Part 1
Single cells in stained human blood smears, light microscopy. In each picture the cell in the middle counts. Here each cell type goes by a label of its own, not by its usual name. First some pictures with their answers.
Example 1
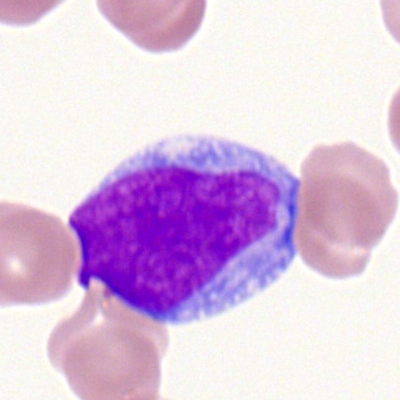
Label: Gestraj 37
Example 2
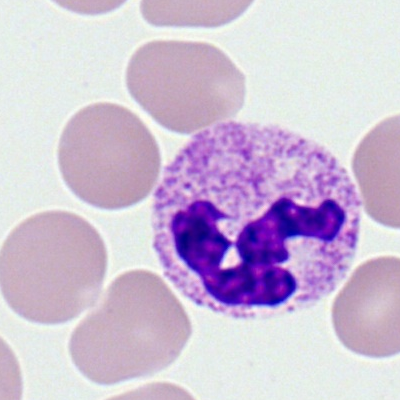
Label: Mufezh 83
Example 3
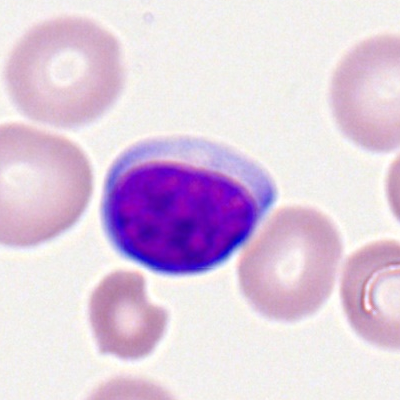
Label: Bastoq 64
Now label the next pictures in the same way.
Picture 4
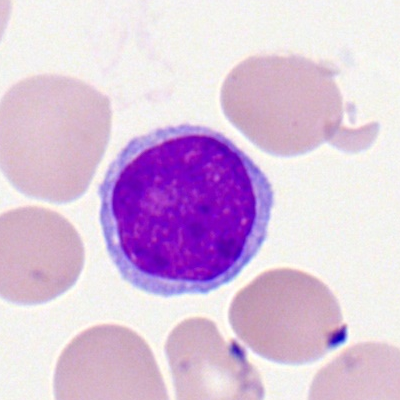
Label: Bastoq 64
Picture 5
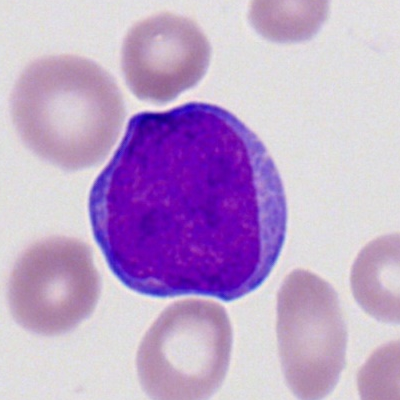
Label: Gestraj 37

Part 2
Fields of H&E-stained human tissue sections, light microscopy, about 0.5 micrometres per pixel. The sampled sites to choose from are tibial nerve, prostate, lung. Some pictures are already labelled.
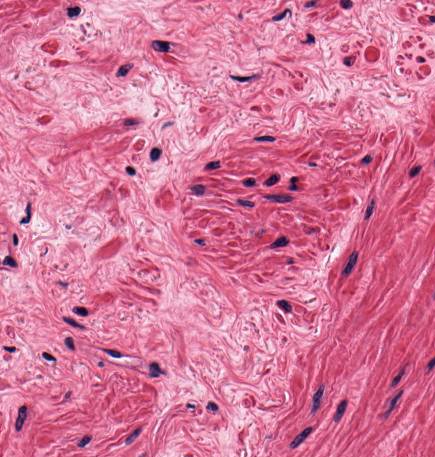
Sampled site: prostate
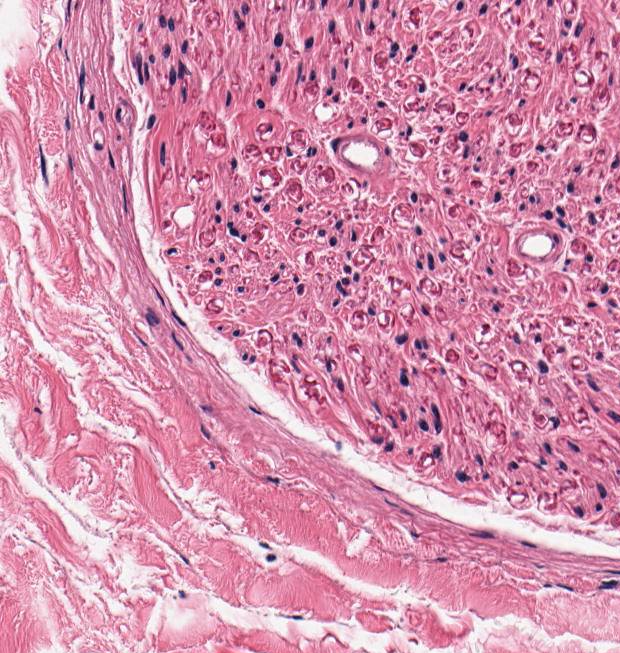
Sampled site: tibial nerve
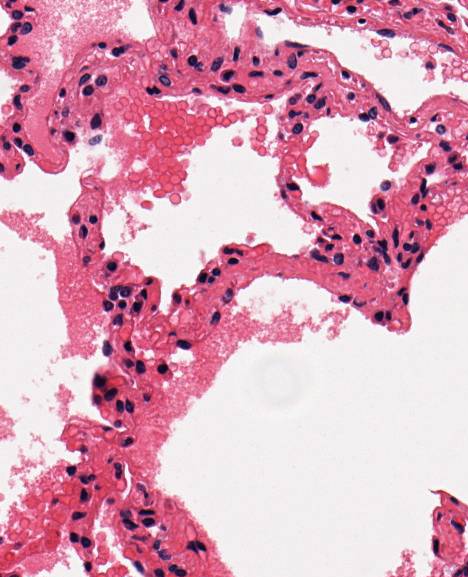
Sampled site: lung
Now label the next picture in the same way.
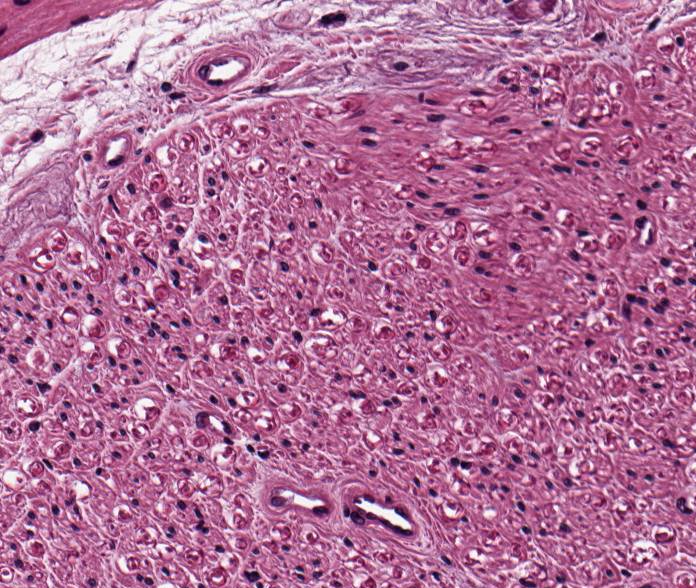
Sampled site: tibial nerve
